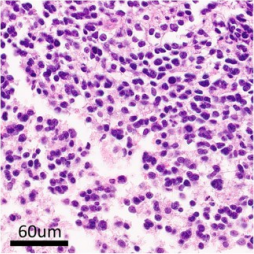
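Tumor tissue made of densely packed cells lying in sheets. The nuclei are round to oval and stain dark purple. Each cell has only a scant rim of pale pink cytoplasm. The nuclei vary somewhat in size and shape. A few paler spaces with little cellularity interrupt the sheets.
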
